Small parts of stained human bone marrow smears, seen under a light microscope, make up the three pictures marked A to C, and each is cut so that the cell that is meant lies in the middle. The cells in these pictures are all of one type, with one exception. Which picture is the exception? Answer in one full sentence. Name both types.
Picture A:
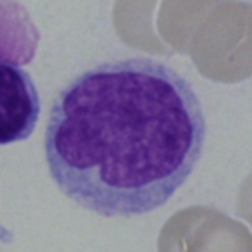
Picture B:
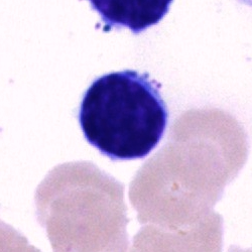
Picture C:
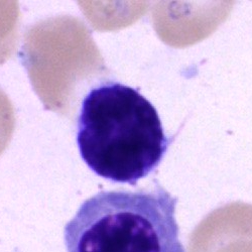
The different one is picture A; it shows a monocyte, whereas all the others show lymphocytes.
